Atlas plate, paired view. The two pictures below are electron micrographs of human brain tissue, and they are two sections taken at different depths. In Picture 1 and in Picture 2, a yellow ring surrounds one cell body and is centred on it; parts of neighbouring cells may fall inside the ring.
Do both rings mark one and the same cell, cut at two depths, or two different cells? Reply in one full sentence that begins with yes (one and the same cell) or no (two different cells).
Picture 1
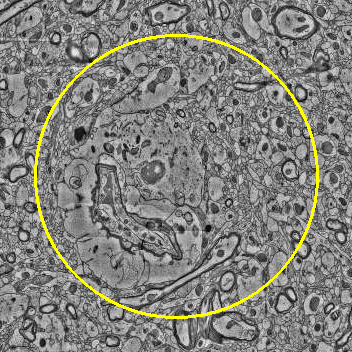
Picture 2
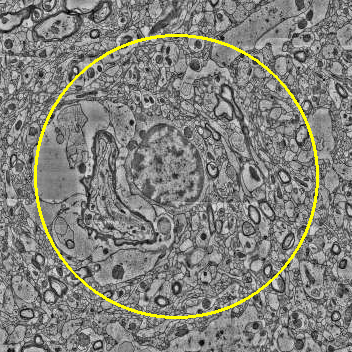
Yes, these two rings point to one cell rather than two.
